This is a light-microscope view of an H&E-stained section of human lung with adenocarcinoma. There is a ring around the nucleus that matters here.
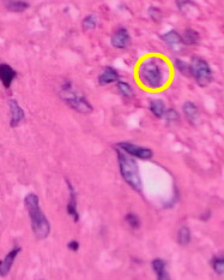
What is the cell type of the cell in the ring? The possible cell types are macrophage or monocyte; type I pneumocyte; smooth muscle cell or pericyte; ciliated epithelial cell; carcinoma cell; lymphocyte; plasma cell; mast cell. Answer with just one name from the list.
smooth muscle cell or pericyte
